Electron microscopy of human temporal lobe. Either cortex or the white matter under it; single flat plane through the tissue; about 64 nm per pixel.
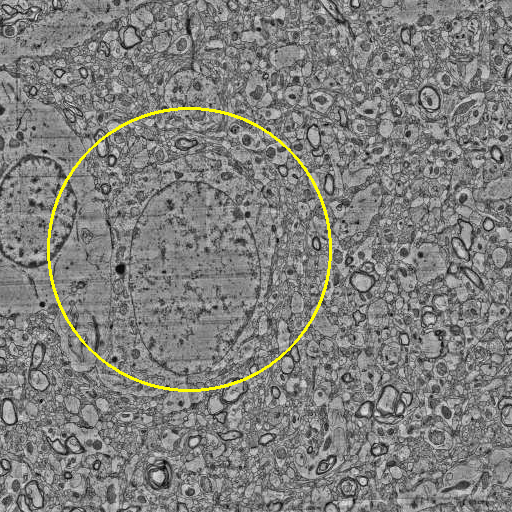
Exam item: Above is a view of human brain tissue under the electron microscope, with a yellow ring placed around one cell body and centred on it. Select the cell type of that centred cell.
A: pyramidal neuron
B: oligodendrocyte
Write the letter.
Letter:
A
